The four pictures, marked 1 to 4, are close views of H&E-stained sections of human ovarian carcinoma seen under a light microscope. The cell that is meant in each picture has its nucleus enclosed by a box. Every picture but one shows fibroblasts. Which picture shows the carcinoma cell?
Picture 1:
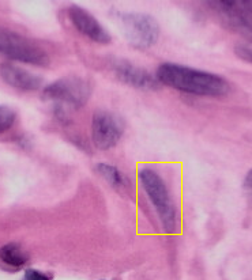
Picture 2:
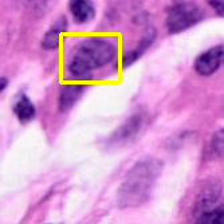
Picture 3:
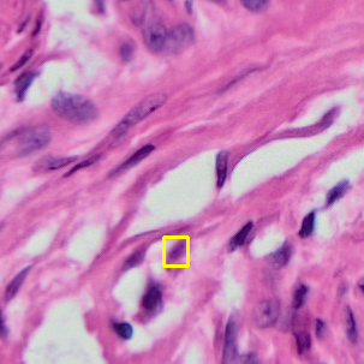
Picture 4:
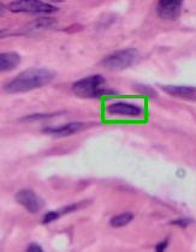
2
